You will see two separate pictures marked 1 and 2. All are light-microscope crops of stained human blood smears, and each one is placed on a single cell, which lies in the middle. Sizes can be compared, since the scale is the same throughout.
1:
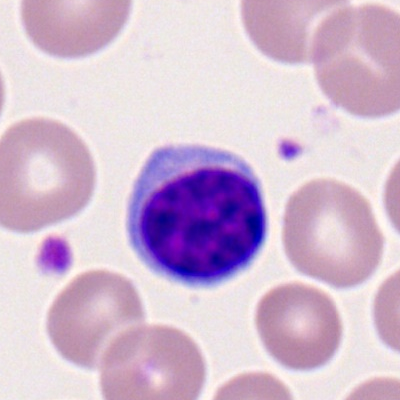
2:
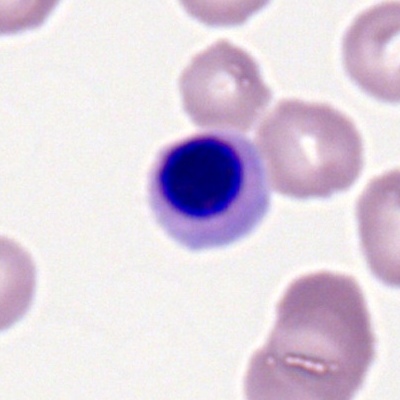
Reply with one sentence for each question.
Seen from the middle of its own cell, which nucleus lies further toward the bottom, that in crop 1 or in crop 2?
The nucleus in crop 1 lies further toward the bottom of its cell.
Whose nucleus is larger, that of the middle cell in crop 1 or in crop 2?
It is the nucleus in crop 1, about 2 times as large in area as the one in crop 2.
